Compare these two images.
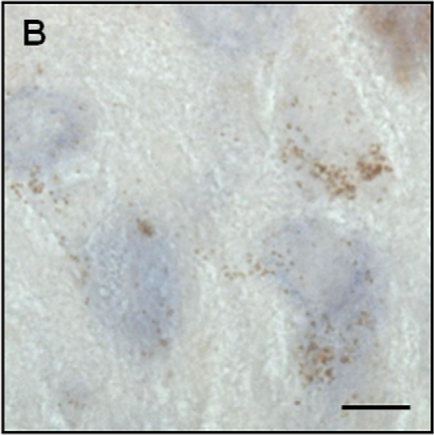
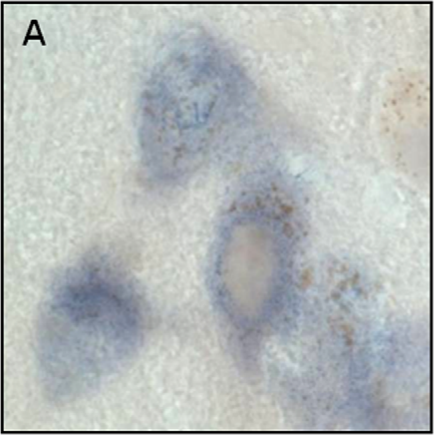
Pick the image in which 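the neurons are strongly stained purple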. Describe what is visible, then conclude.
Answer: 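The second image. First image: cell bodies are only faintly tinted blue-purple, outlines barely visible. Second image: cell bodies are densely stained blue-purple and stand out clearly from the background.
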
